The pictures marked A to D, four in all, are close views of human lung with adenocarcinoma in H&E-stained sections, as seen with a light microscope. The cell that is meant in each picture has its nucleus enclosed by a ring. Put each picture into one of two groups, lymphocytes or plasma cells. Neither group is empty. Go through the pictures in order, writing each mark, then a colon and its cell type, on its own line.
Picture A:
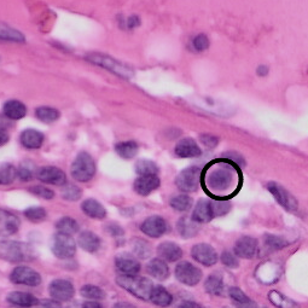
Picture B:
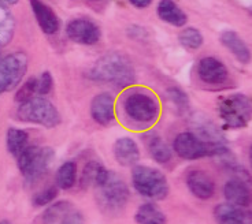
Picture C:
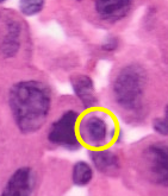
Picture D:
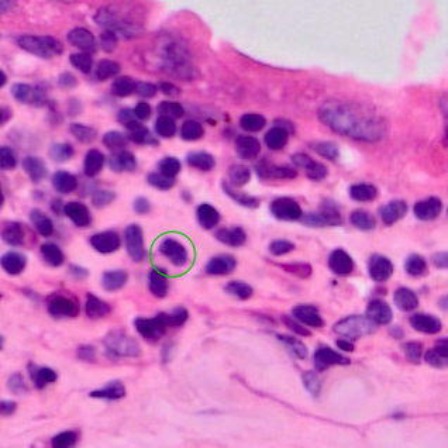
A: lymphocyte
B: plasma cell
C: lymphocyte
D: lymphocyte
